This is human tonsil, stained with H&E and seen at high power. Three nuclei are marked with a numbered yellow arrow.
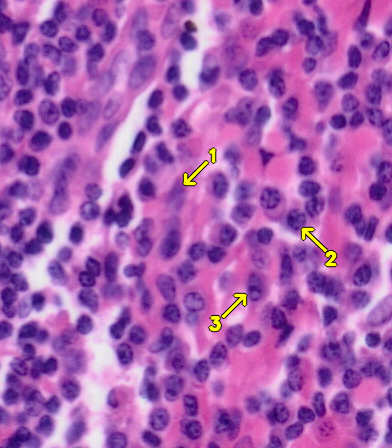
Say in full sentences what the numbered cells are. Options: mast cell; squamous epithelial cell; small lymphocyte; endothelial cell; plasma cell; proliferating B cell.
Cell 1 is an endothelial cell. Cells 2 and 3 are plasma cells.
